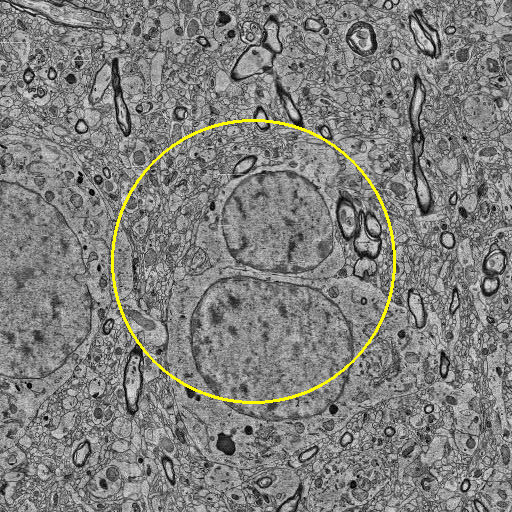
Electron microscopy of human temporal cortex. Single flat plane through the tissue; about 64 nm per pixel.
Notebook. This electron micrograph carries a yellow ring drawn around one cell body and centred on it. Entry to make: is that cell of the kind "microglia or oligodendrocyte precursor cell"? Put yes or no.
yes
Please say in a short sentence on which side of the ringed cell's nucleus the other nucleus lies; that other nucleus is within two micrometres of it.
The second nucleus sits to the lower left of it.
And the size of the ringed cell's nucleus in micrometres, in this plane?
Roughly 7 micrometers across, in this plane.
